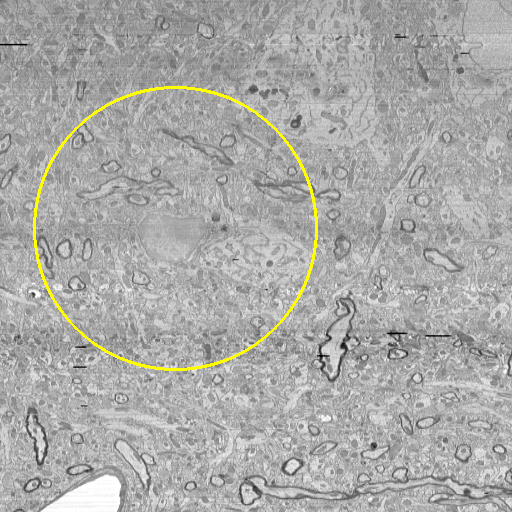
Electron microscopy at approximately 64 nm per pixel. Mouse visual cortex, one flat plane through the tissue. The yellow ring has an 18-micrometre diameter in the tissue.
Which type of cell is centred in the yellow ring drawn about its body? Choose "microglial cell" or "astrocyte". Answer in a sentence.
The yellow ring surrounds the cell body of a microglial cell.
